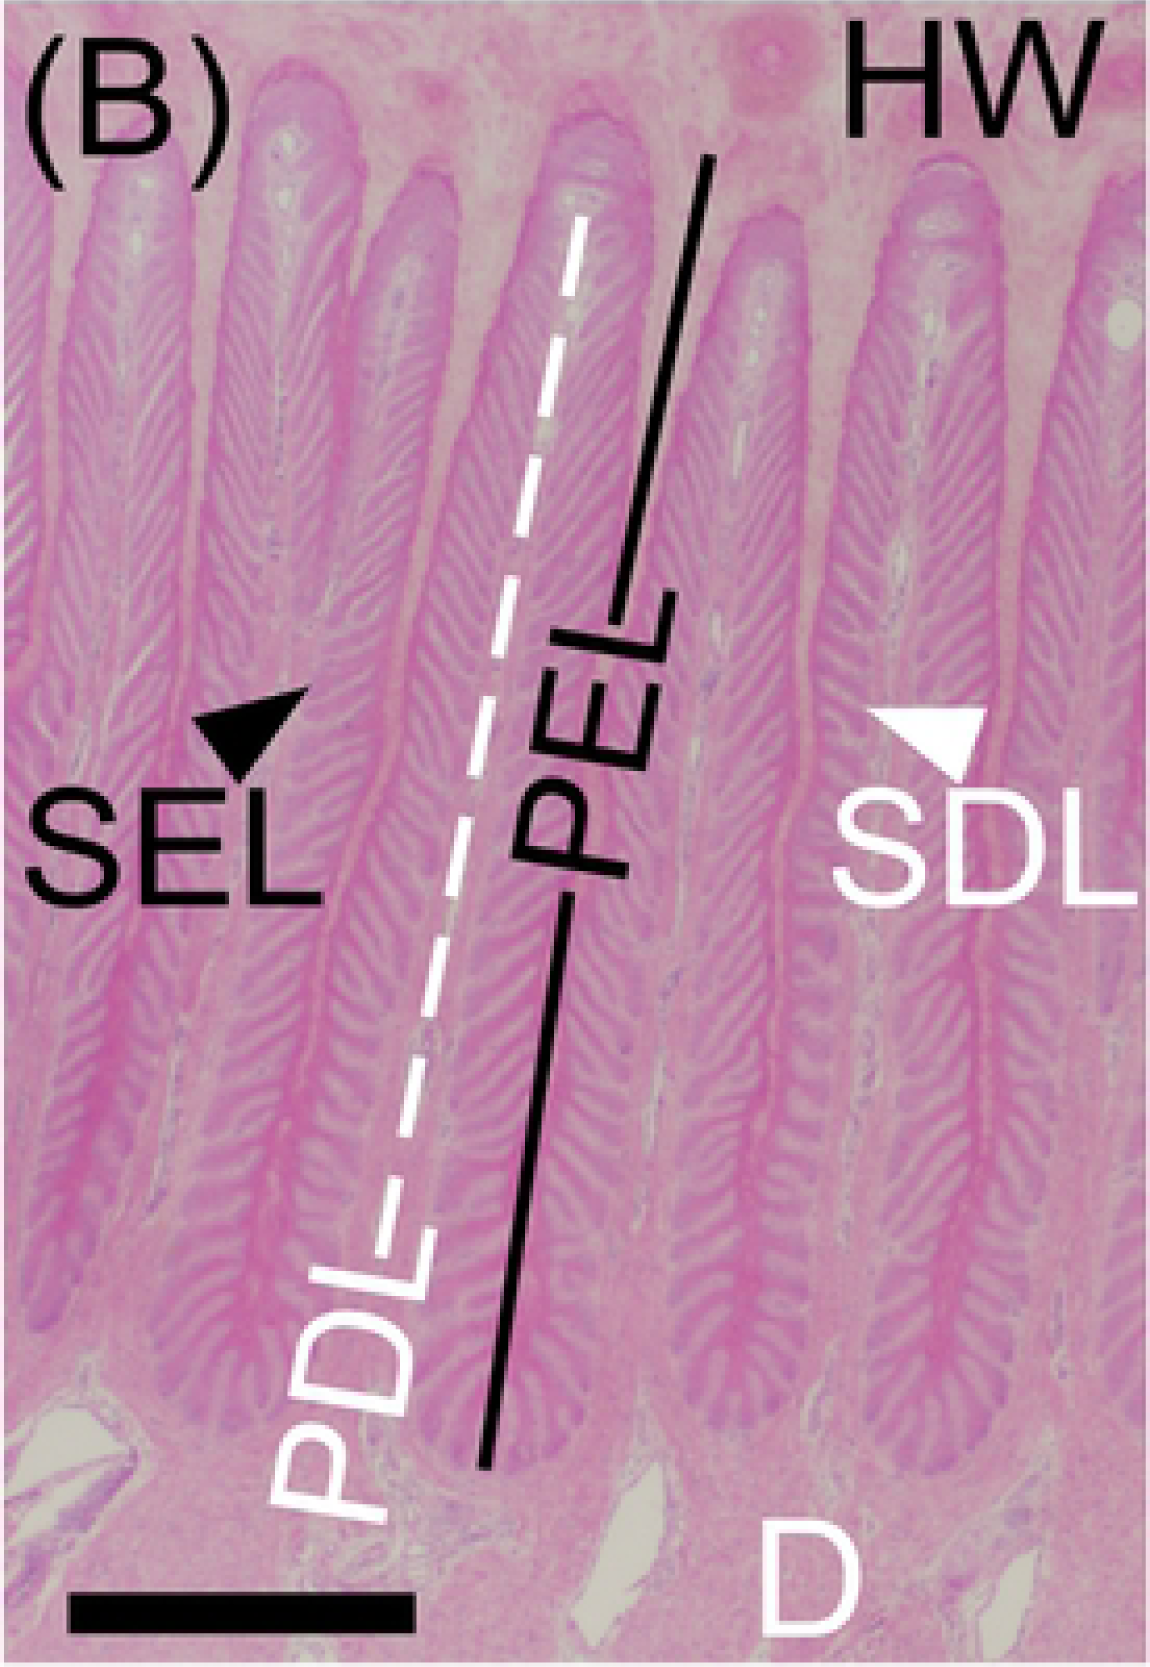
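Long, parallel primary epidermal lamellae run from the dense hoof wall at the top down toward the dermis at the bottom, ending in rounded tips. Along both sides of each primary lamella, many fine secondary epidermal lamellae branch off at an angle, giving each one a feather-like outline. These interdigitate with primary and secondary dermal lamellae of paler connective tissue, which join the dermal corium at the bottom, where pale vessel spaces can be seen.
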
